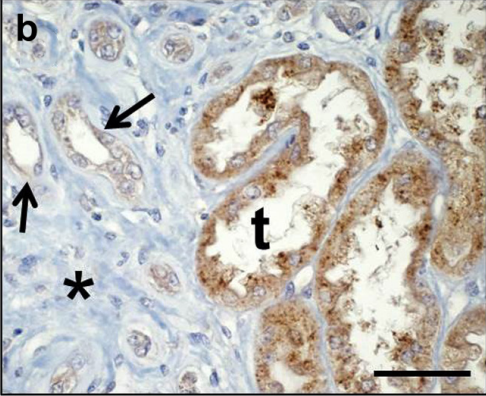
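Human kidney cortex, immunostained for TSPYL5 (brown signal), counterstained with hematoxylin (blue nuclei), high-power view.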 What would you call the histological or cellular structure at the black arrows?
Smaller tubules.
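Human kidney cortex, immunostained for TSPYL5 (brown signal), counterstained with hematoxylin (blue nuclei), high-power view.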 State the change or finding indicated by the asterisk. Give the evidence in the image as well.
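The asterisk lies on pale blue fibrous interstitium with few scattered nuclei. Tubules there are widely separated by this interstitial tissue.
Conclusion: fibrotic area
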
